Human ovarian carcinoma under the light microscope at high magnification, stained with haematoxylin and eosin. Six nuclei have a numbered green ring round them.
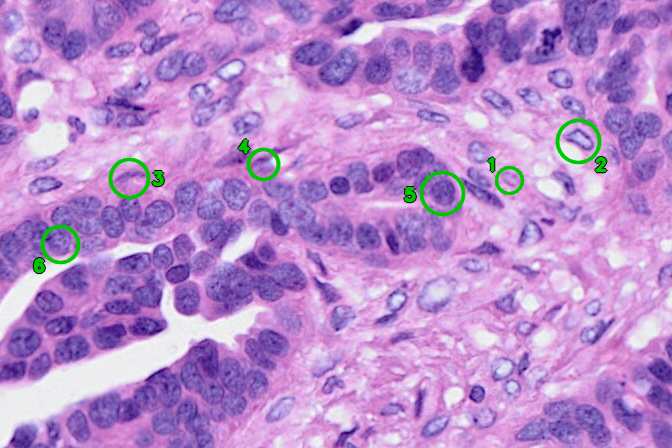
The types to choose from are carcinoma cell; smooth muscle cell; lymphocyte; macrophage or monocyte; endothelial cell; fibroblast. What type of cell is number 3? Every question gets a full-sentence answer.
The nucleus labelled 3 belongs to a fibroblast.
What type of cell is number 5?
The cell that carries the label 5 is a carcinoma cell.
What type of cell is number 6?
Identified by the number 6, the cell is a carcinoma cell.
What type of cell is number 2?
Looking at the numbered marks, cell 2 is a fibroblast.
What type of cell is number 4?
Classified as a fibroblast is the cell with the number 4.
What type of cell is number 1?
Recognised here as a fibroblast is the cell numbered 1.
